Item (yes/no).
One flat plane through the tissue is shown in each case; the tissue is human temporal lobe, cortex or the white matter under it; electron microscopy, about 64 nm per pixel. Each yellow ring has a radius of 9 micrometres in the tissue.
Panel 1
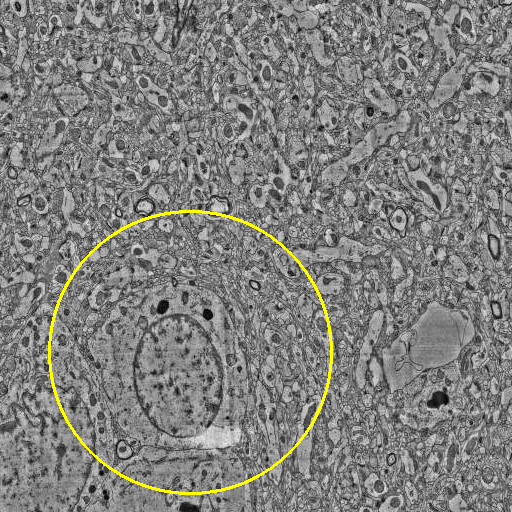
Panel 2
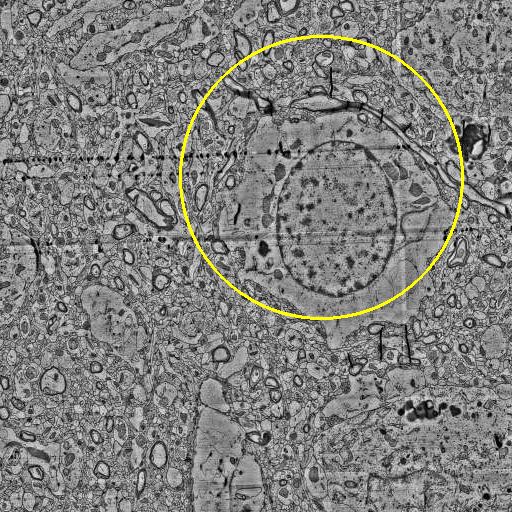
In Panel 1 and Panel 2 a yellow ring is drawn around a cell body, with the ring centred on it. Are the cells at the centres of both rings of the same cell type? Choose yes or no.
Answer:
no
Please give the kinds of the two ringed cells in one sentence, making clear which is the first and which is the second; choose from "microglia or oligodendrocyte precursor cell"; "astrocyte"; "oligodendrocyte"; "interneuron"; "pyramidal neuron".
In the second picture the ringed cell is an astrocyte; in the first it is a pyramidal neuron.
